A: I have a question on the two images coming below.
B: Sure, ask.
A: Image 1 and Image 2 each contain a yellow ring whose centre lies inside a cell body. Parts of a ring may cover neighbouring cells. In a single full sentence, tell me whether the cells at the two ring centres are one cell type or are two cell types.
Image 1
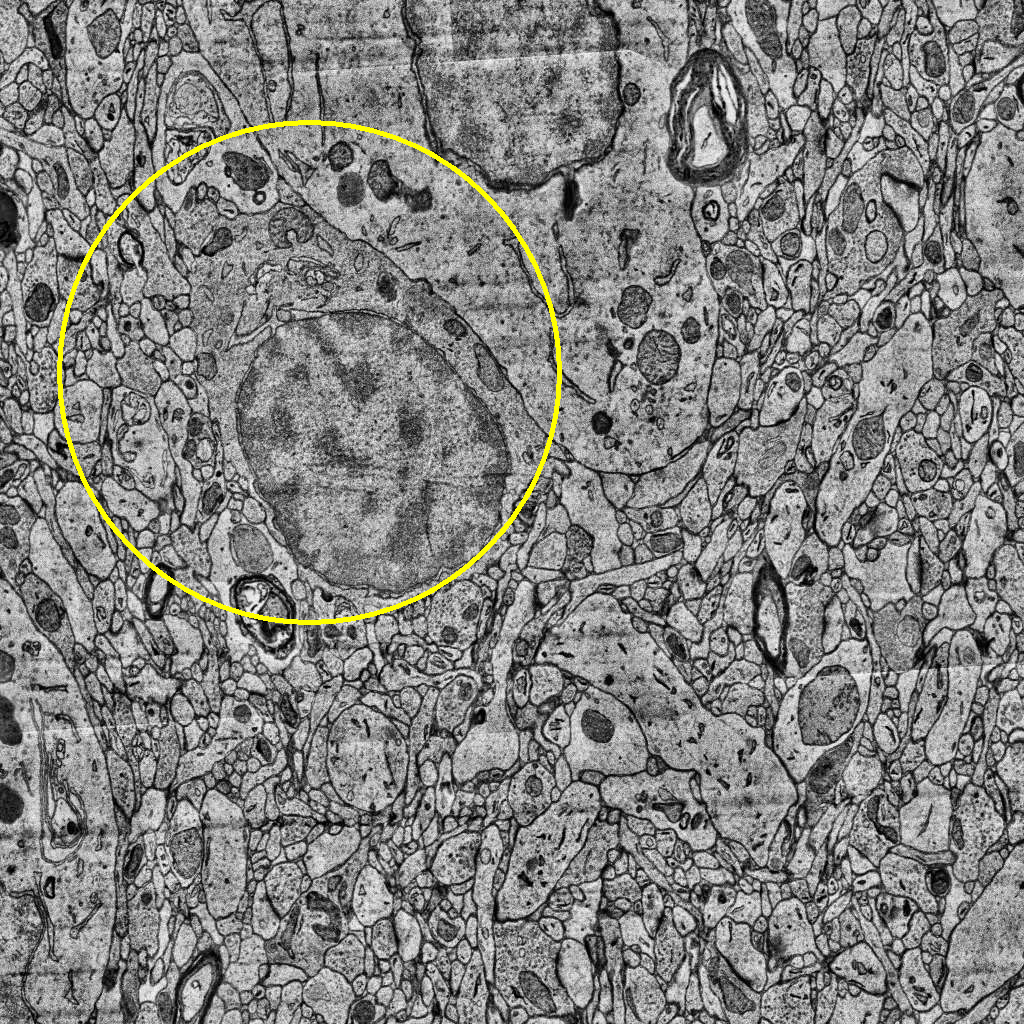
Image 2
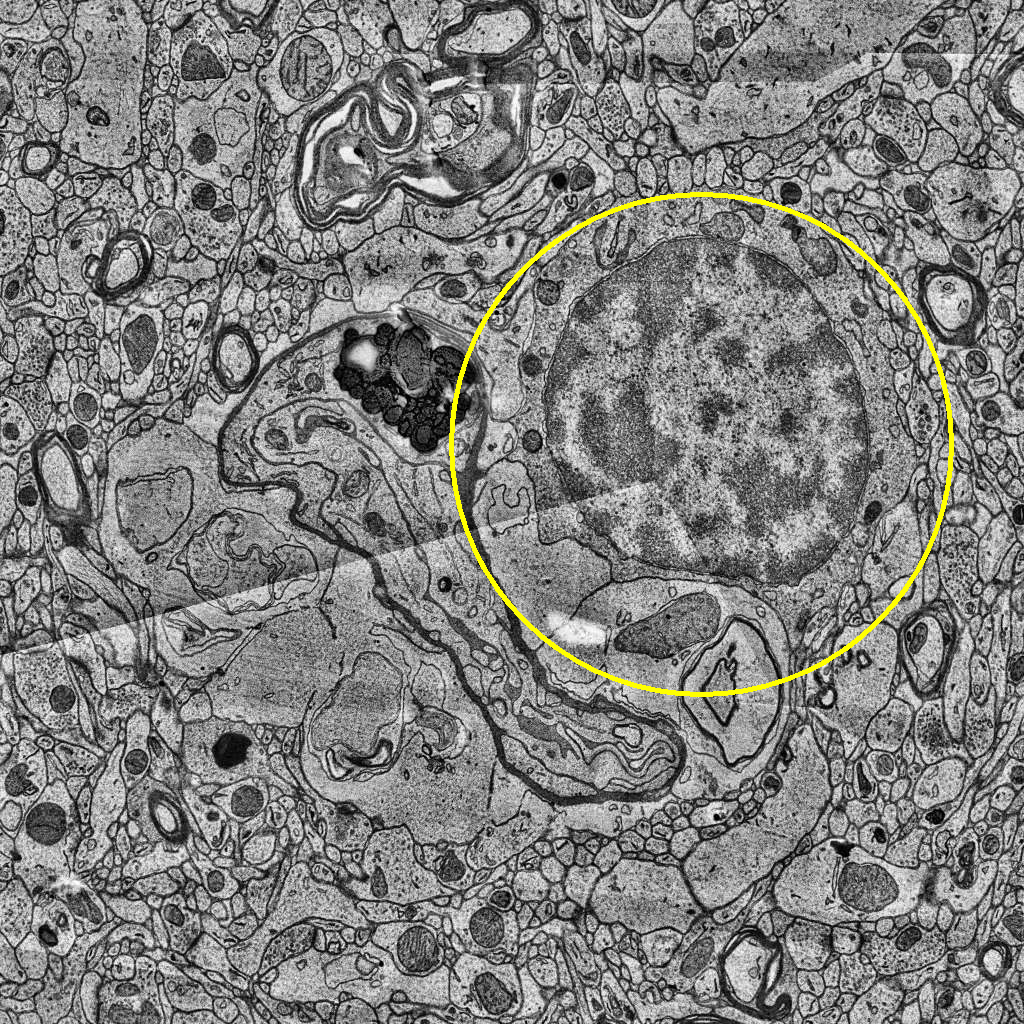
As for the ring-centre cells, the one in Image 1 and the one in Image 2 are one cell type.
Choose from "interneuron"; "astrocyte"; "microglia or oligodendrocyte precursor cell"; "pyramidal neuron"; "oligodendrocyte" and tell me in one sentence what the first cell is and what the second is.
The cell at the ring centre is an oligodendrocyte in both pictures.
